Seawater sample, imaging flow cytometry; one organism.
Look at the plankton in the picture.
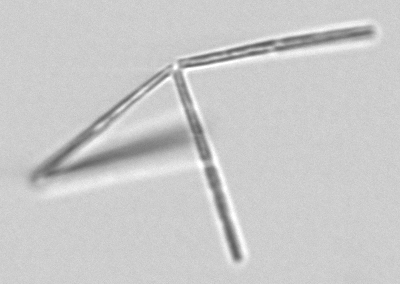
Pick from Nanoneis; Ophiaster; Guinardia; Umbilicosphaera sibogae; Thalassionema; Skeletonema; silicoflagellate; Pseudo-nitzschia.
Thalassionema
